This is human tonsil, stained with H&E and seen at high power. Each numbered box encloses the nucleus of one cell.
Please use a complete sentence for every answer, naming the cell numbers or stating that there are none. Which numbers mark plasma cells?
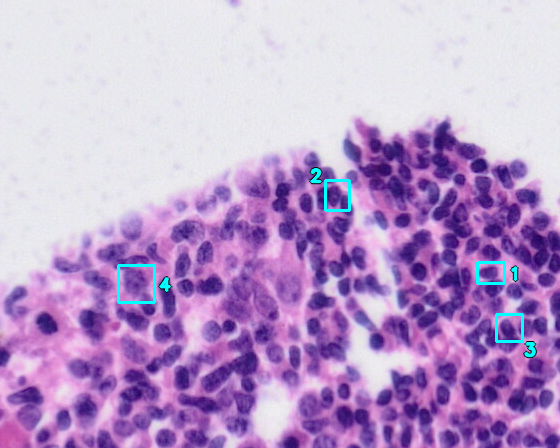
None of the numbered cells is one of the plasma cells.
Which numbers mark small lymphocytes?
Into the category of small lymphocytes fall the cells numbered 1, 2 and 3.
